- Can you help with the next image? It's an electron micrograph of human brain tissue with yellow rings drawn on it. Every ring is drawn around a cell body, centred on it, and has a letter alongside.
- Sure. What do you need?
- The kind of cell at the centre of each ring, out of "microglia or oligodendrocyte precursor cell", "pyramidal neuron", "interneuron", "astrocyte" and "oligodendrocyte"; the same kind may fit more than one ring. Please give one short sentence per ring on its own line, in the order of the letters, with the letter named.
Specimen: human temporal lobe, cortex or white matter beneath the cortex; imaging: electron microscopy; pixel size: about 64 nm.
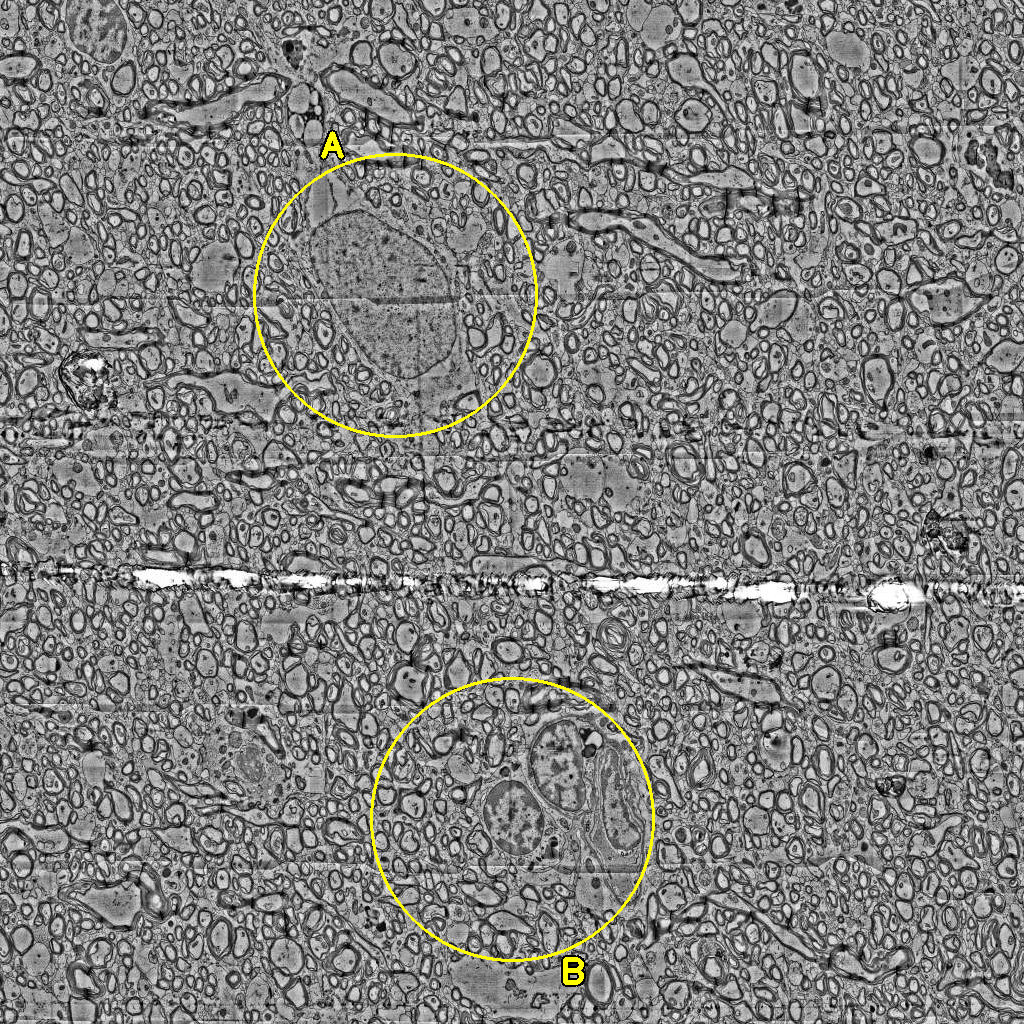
Ring A picks out an astrocyte.
Ring B picks out a microglial cell or oligodendrocyte precursor cell.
